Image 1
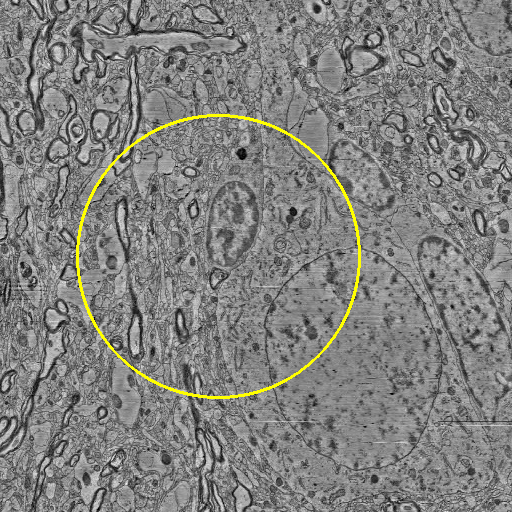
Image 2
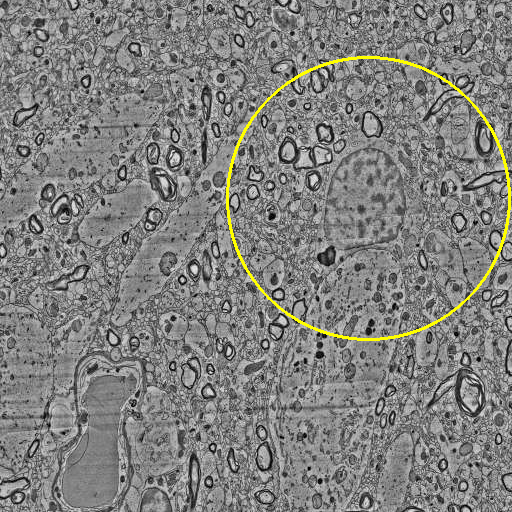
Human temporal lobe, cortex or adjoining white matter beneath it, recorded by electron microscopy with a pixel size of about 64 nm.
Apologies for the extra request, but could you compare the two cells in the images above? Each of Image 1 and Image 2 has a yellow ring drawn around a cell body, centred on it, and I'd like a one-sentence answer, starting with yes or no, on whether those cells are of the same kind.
Yes, both cells are of the same kind.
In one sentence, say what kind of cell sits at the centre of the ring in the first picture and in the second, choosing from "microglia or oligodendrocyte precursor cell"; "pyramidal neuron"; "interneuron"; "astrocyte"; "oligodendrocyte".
The cell at the ring centre is an oligodendrocyte in both pictures.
